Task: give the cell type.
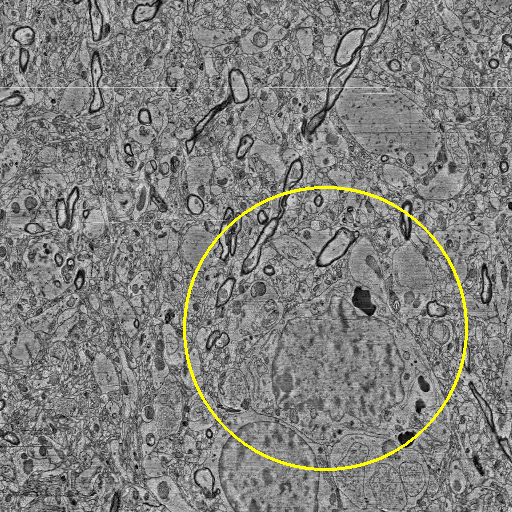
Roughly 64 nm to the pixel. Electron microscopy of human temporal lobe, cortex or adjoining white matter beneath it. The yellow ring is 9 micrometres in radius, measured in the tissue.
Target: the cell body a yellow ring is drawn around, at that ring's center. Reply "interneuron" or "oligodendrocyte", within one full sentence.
In this picture, the cell whose body lies at the ring's center is an interneuron.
